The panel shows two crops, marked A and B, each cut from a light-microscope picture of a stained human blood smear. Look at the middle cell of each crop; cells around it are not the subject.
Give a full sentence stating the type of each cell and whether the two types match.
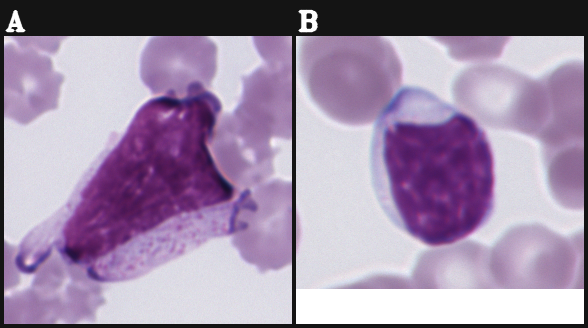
No, a myelocyte and a large granular lymphocyte are found in crop A and crop B, respectively.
